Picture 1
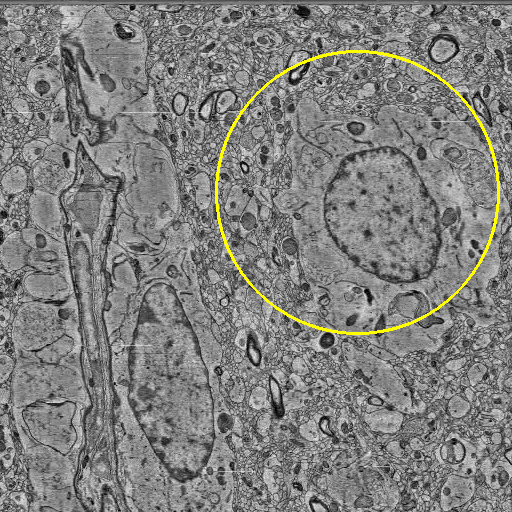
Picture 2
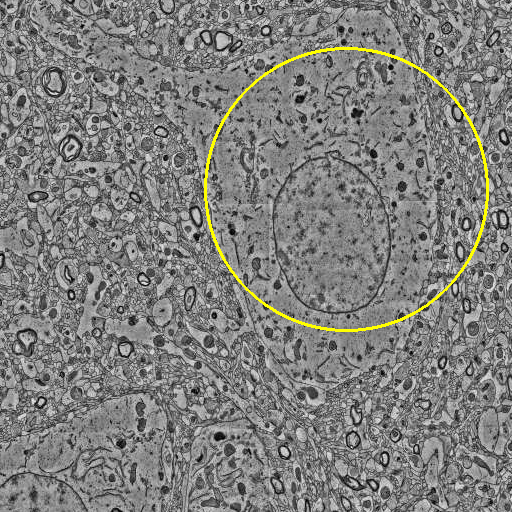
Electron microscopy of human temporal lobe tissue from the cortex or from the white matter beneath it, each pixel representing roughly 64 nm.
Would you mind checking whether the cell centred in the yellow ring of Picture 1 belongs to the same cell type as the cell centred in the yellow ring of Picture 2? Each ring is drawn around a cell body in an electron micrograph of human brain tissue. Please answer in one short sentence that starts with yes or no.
No, the two cells are of two types.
